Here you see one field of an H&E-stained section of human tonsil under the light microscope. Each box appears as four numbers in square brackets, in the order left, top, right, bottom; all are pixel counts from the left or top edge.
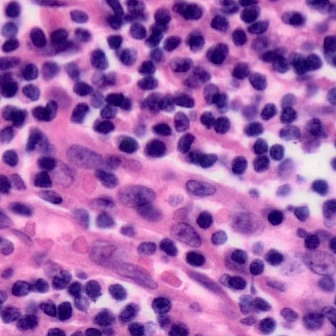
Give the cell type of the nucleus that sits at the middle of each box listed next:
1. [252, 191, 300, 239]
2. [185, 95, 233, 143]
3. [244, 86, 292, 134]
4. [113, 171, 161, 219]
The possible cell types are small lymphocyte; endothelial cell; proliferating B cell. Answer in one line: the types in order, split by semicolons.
endothelial cell; small lymphocyte; small lymphocyte; endothelial cell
